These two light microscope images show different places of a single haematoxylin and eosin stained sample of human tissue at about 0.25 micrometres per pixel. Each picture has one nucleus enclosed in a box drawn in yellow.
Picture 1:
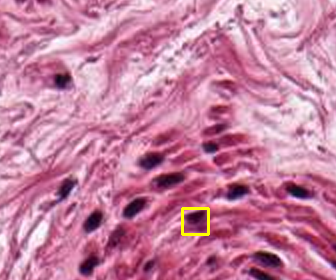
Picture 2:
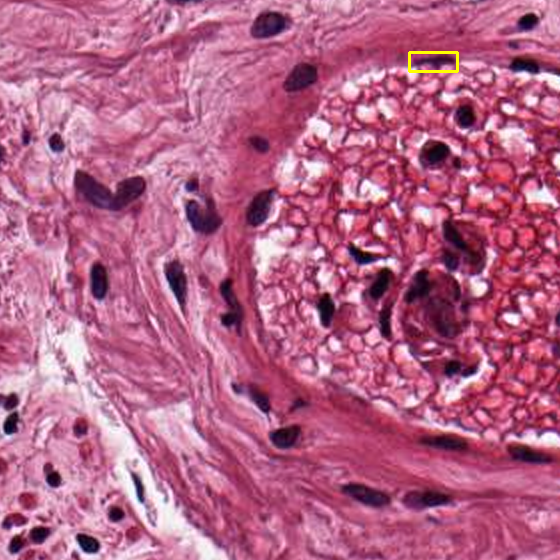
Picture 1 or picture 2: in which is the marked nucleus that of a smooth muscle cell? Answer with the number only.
1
